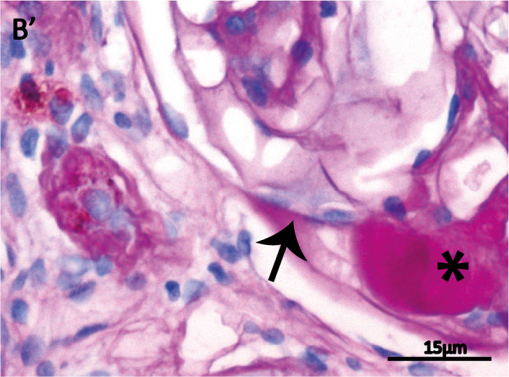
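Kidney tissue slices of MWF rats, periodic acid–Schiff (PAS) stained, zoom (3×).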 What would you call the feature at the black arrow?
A: Bifurcations of the original Bowman's capsule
